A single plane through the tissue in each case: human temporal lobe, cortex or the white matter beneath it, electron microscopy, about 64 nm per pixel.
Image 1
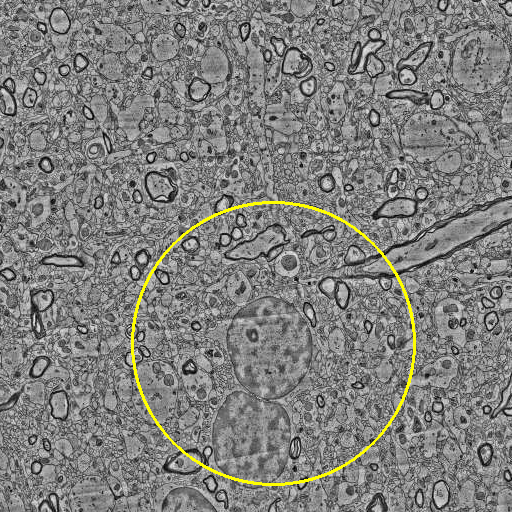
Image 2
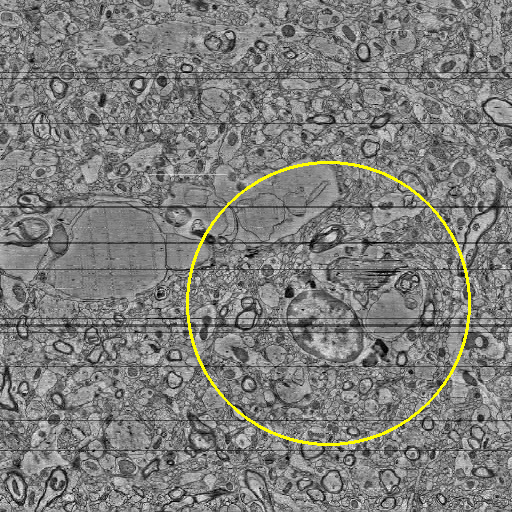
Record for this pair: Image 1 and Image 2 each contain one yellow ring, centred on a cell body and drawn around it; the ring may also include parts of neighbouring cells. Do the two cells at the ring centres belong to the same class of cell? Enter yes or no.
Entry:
no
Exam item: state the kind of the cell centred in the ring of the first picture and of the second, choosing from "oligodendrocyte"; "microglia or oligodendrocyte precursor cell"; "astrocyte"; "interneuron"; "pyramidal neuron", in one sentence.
The first picture shows an oligodendrocyte at the ring centre and the second shows a microglial cell or oligodendrocyte precursor cell.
